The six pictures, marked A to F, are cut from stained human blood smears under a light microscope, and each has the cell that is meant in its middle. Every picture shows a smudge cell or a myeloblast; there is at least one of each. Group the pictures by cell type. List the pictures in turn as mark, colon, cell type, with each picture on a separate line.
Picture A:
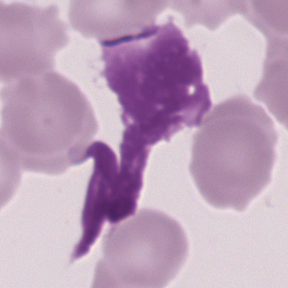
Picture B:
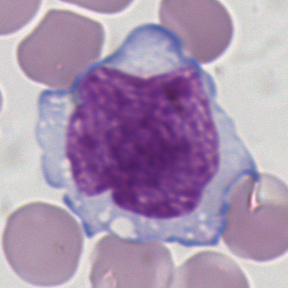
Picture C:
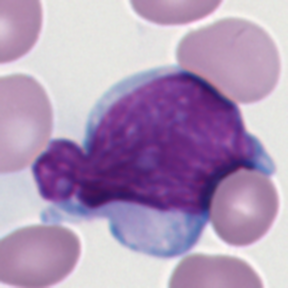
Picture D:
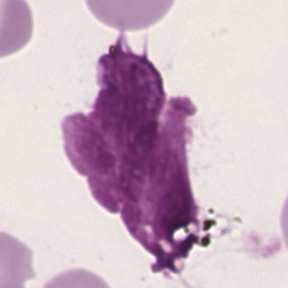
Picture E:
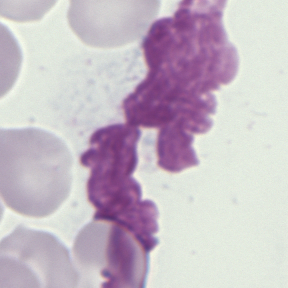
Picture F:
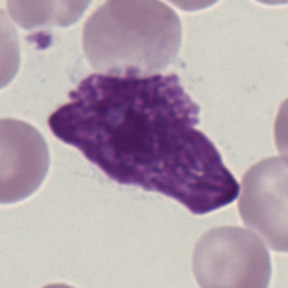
A: smudge cell
B: myeloblast
C: myeloblast
D: smudge cell
E: smudge cell
F: smudge cell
